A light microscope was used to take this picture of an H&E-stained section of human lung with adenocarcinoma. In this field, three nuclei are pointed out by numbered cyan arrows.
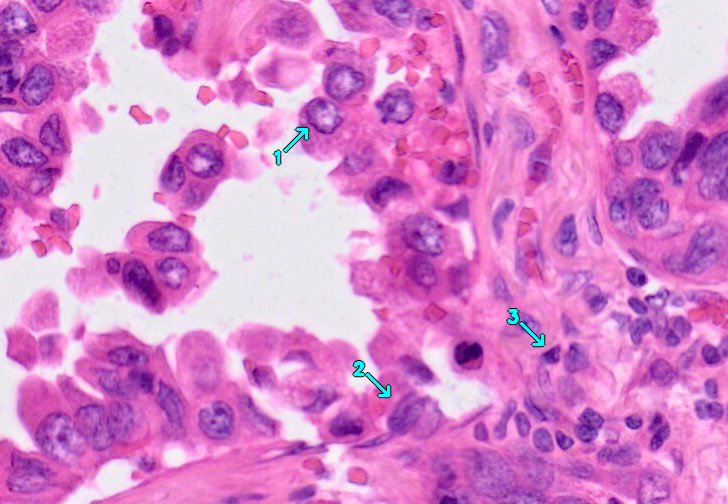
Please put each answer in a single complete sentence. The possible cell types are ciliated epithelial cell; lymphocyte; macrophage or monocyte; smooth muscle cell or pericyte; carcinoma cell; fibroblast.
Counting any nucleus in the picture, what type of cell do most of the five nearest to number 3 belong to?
The majority of the five nuclei closest to number 3 belong to macrophages or monocytes.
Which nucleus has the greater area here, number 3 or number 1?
It is nucleus 1, which covers about 4 times the area of nucleus 3.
